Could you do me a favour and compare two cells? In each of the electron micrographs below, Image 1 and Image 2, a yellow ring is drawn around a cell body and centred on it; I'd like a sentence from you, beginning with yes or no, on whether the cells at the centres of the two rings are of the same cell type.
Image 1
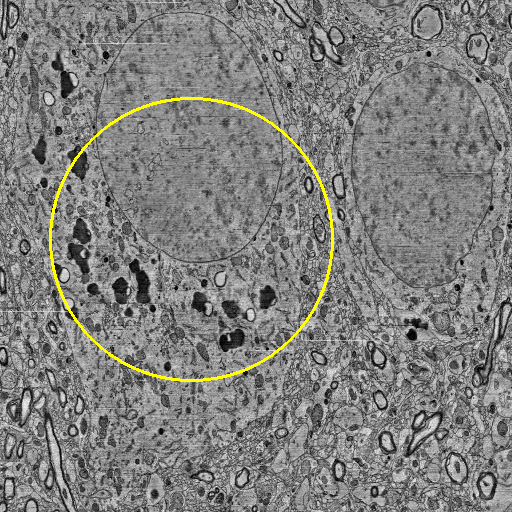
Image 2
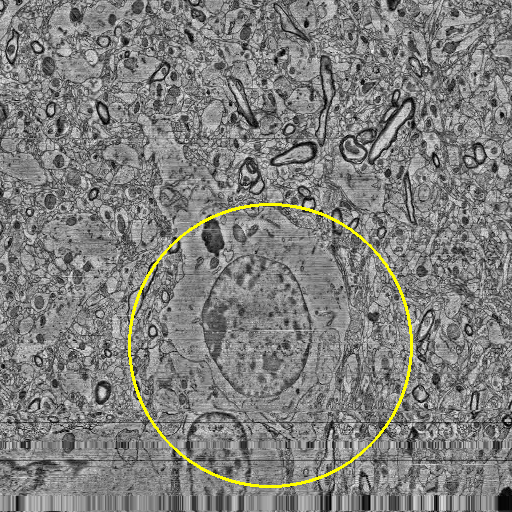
No, the two cells are of two cell types.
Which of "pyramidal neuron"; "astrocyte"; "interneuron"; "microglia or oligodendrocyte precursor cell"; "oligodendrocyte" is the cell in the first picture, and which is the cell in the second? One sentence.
The two differ: the first cell is a pyramidal neuron and the second is an astrocyte.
